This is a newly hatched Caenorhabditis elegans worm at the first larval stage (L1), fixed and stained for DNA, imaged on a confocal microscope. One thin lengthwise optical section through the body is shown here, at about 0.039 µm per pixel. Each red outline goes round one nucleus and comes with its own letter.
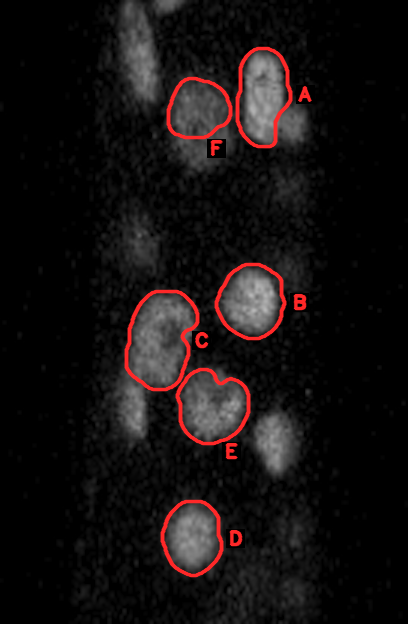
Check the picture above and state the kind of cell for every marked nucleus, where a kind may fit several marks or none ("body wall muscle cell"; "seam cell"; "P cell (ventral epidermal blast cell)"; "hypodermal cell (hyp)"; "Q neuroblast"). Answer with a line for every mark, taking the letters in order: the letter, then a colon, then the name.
A: body wall muscle cell
B: P cell (ventral epidermal blast cell)
C: hypodermal cell (hyp)
D: Q neuroblast
E: seam cell
F: seam cell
